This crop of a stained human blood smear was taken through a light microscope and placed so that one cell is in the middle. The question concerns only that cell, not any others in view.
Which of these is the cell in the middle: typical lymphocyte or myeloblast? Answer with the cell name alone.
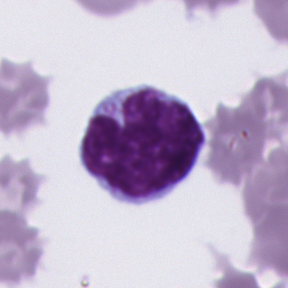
typical lymphocyte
